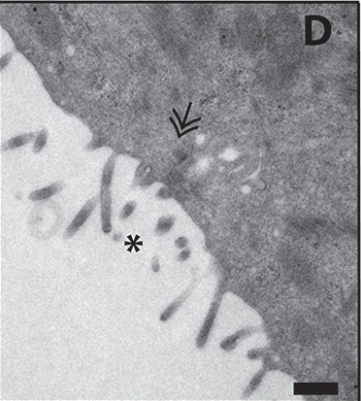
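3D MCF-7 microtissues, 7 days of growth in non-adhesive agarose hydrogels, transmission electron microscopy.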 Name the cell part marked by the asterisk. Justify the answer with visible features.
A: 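Microvilli. Slender finger-like projections stick out from the cell surface into an empty space.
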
